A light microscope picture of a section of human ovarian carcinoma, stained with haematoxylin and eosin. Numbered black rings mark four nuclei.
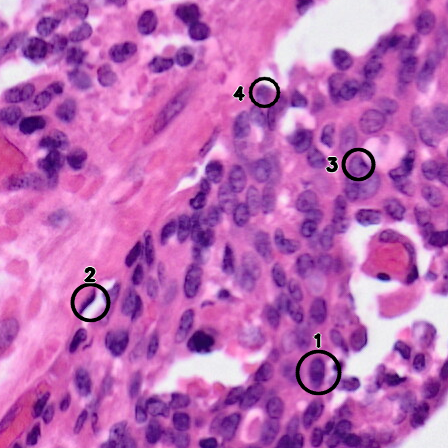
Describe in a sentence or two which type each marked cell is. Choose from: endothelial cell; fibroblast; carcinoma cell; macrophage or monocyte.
Cells 1, 3 and 4 are carcinoma cells. Cell 2 is an endothelial cell.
